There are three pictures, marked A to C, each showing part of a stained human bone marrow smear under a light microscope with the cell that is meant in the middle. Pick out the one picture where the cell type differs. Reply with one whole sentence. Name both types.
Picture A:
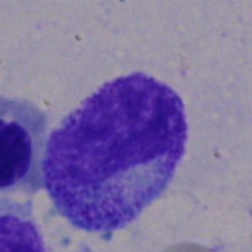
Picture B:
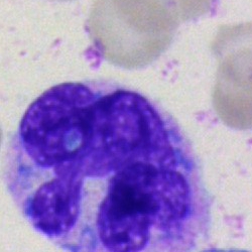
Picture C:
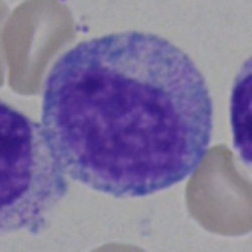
The others show myelocytes, but picture B shows a monocyte.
